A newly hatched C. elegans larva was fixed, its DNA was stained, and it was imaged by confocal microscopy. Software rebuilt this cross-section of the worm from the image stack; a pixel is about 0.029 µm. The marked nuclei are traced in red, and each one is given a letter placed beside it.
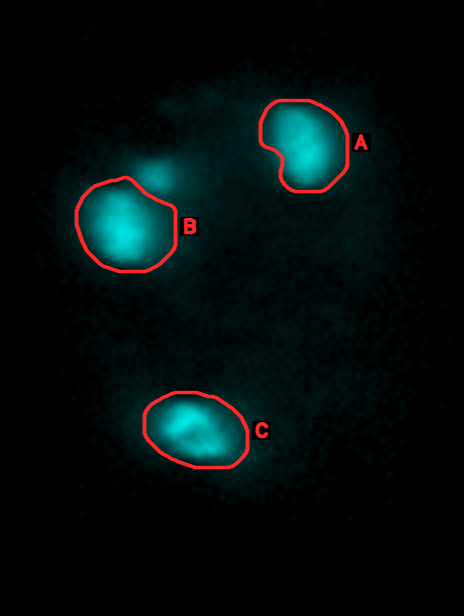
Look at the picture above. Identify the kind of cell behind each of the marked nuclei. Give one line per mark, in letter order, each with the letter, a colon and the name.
A: P cell (ventral epidermal blast cell)
B: P cell (ventral epidermal blast cell)
C: body wall muscle cell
